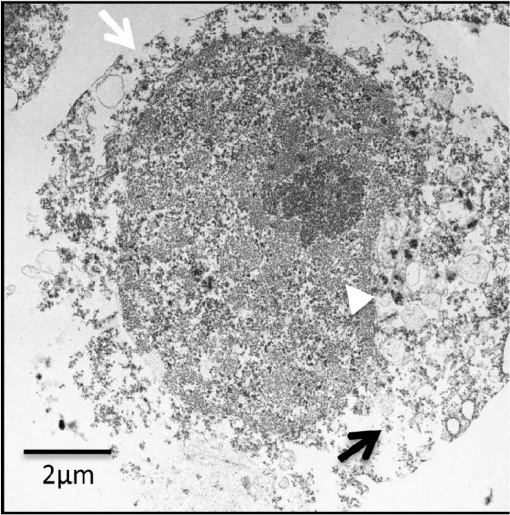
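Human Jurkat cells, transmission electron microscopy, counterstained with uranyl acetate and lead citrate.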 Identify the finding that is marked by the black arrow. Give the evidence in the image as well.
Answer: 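Low cytoplasm density. The cytoplasm at the arrow is pale and sparse. Empty-looking vesicles and loose debris fill this region.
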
